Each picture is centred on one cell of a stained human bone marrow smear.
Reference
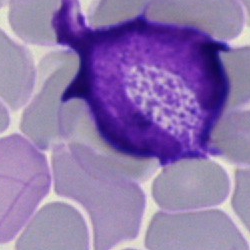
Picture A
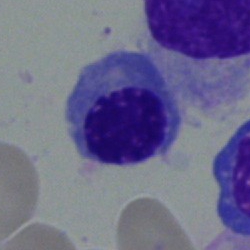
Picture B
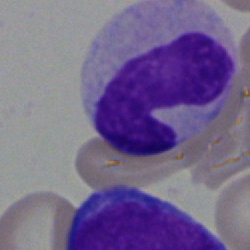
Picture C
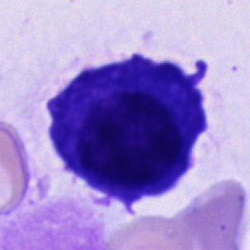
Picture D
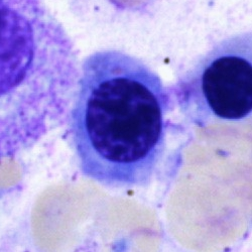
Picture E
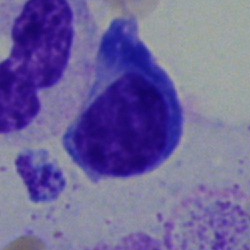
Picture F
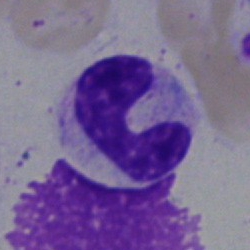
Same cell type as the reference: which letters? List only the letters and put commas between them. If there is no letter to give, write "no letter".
B, F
